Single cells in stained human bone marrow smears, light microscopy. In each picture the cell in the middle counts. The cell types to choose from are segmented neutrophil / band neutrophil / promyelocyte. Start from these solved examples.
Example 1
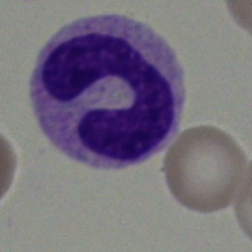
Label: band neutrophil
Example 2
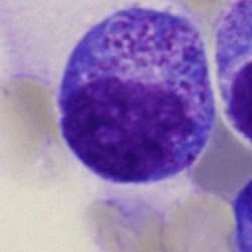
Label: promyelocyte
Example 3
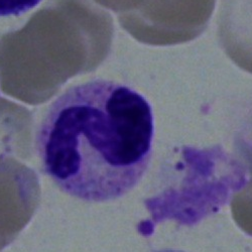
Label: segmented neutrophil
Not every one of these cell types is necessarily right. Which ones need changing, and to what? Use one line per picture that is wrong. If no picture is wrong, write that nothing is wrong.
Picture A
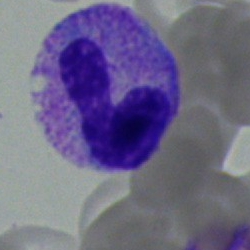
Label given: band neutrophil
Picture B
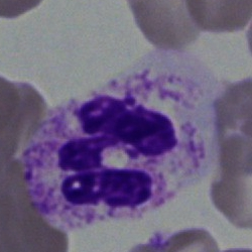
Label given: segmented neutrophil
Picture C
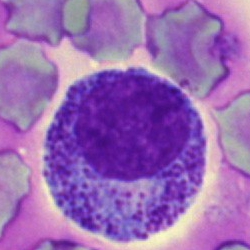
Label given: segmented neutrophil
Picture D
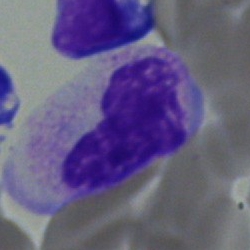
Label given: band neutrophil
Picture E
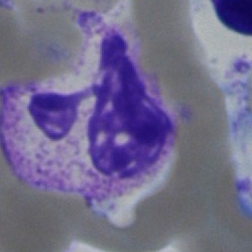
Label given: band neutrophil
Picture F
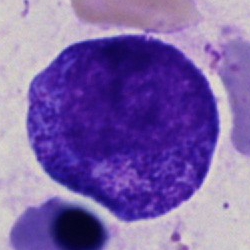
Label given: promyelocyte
C is labelled segmented neutrophil; correct label: promyelocyte
E is labelled band neutrophil; correct label: segmented neutrophil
